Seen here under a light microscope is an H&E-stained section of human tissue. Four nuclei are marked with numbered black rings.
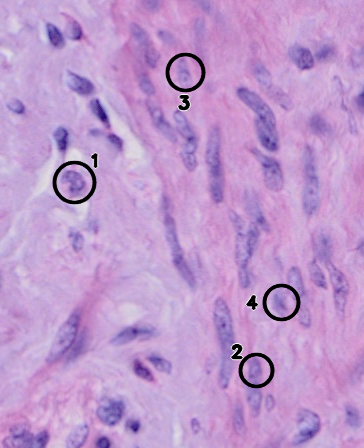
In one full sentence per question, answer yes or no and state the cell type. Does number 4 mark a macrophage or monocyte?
No, as for cell 4, it is a smooth muscle cell and not a macrophage or monocyte.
